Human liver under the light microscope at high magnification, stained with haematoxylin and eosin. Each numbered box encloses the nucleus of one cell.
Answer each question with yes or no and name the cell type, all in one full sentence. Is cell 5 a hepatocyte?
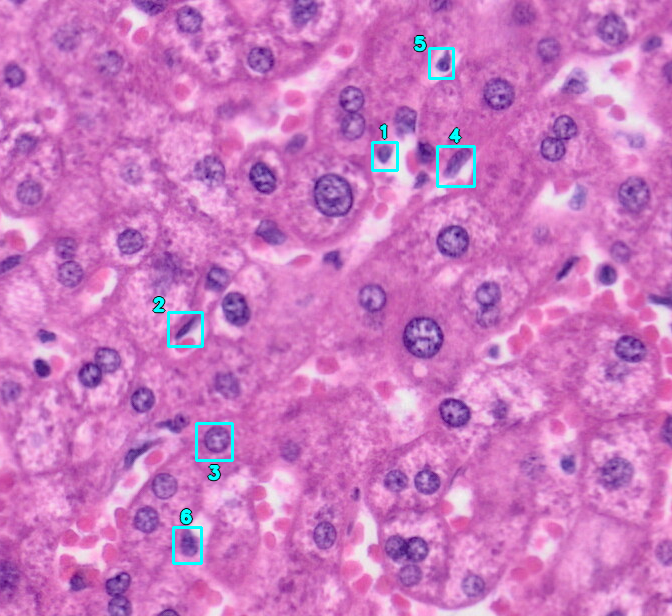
No, number 5 belongs to a lymphocyte, not to a hepatocyte.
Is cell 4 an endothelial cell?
No, cell 4 is not an endothelial cell, but is instead a Kupffer cell.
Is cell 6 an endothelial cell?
Yes, the cell whose number is 6 is an endothelial cell.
